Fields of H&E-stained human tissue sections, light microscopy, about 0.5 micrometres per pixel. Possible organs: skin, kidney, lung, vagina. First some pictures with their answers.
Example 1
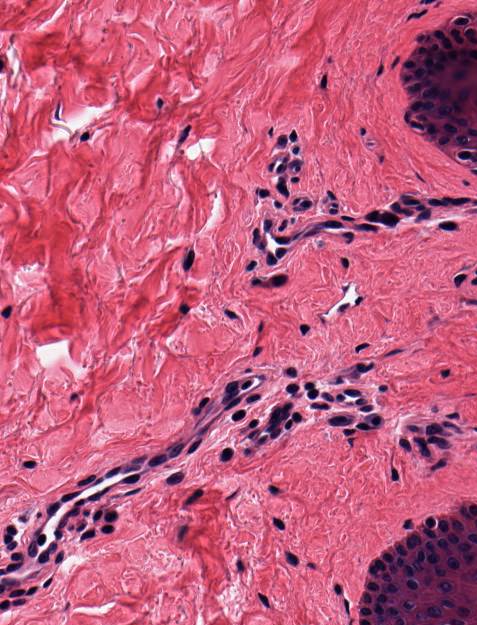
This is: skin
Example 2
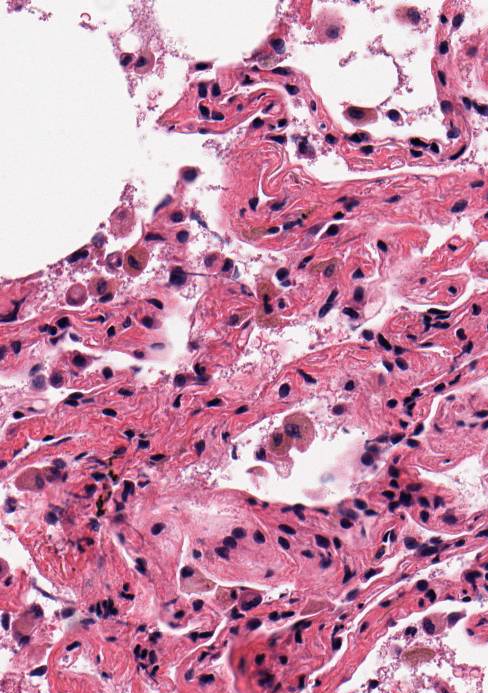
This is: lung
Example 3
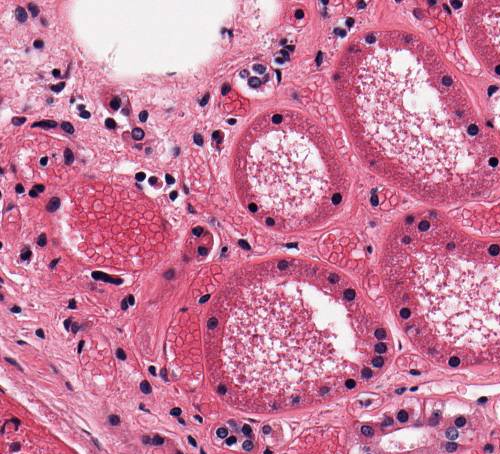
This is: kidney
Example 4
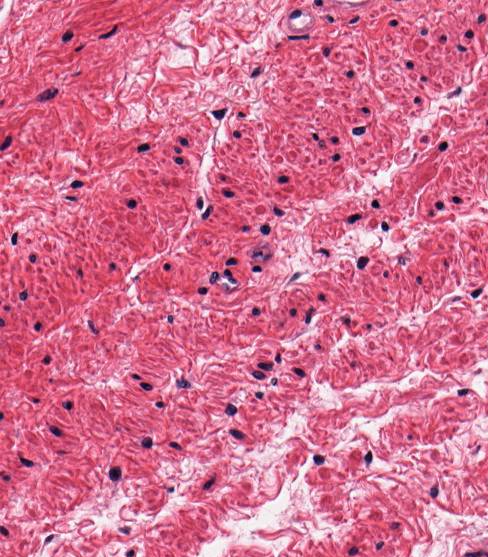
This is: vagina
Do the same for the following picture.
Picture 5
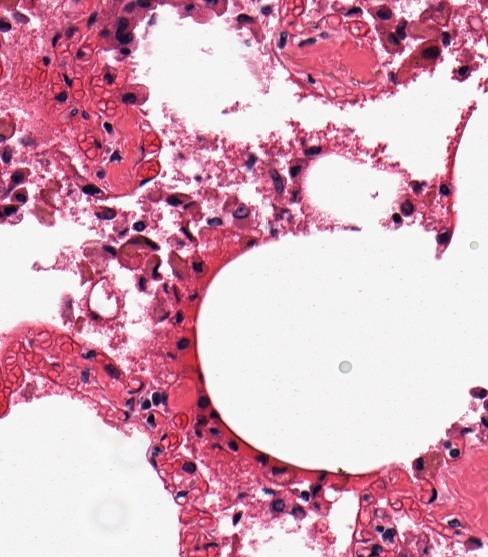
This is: lung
